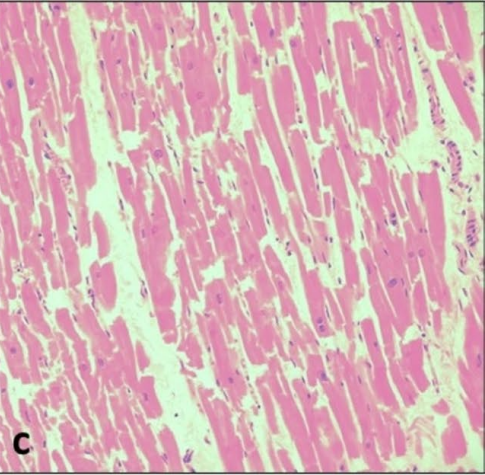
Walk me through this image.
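Heart muscle showing the normal parallel pattern of myocytes. Pink-staining, roughly rectangular muscle fibres lie side by side, all running in the same diagonal direction. Narrow pale, nearly unstained spaces separate neighbouring fibres. Small vessels with darker nuclei appear between fibres near the right edge.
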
